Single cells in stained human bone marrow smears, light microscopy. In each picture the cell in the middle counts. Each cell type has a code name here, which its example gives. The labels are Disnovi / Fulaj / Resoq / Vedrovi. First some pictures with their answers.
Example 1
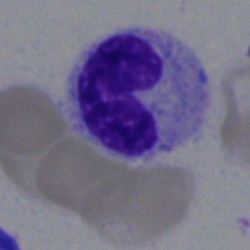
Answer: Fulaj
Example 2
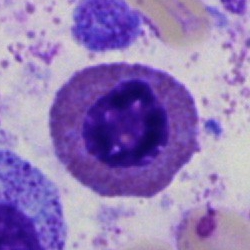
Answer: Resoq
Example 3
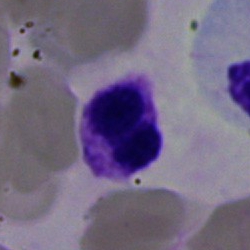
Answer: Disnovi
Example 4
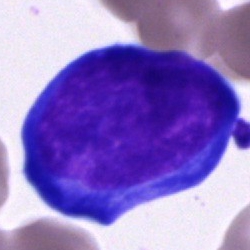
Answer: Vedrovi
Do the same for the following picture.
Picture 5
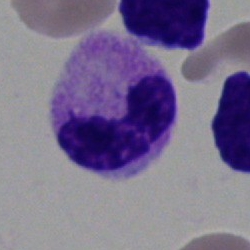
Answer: Fulaj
